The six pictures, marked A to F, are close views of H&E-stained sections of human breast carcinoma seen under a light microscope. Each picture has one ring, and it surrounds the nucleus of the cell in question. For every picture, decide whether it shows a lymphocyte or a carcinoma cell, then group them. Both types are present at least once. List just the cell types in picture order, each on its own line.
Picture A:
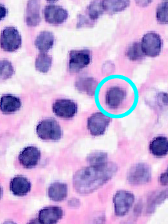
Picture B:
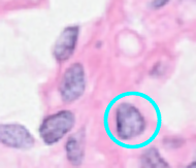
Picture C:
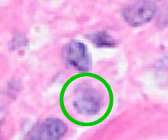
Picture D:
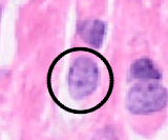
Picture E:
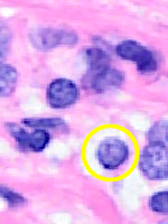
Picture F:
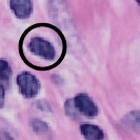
lymphocyte
carcinoma cell
carcinoma cell
carcinoma cell
carcinoma cell
lymphocyte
